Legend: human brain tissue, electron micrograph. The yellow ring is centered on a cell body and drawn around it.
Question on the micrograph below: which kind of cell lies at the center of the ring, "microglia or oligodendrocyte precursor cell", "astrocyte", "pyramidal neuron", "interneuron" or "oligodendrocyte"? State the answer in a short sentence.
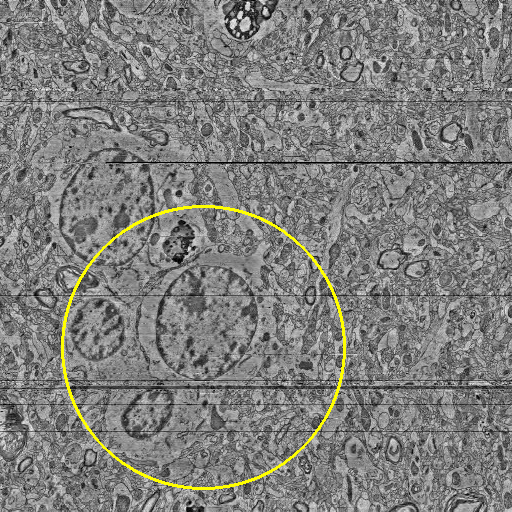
At the center of the ring lies an astrocyte.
